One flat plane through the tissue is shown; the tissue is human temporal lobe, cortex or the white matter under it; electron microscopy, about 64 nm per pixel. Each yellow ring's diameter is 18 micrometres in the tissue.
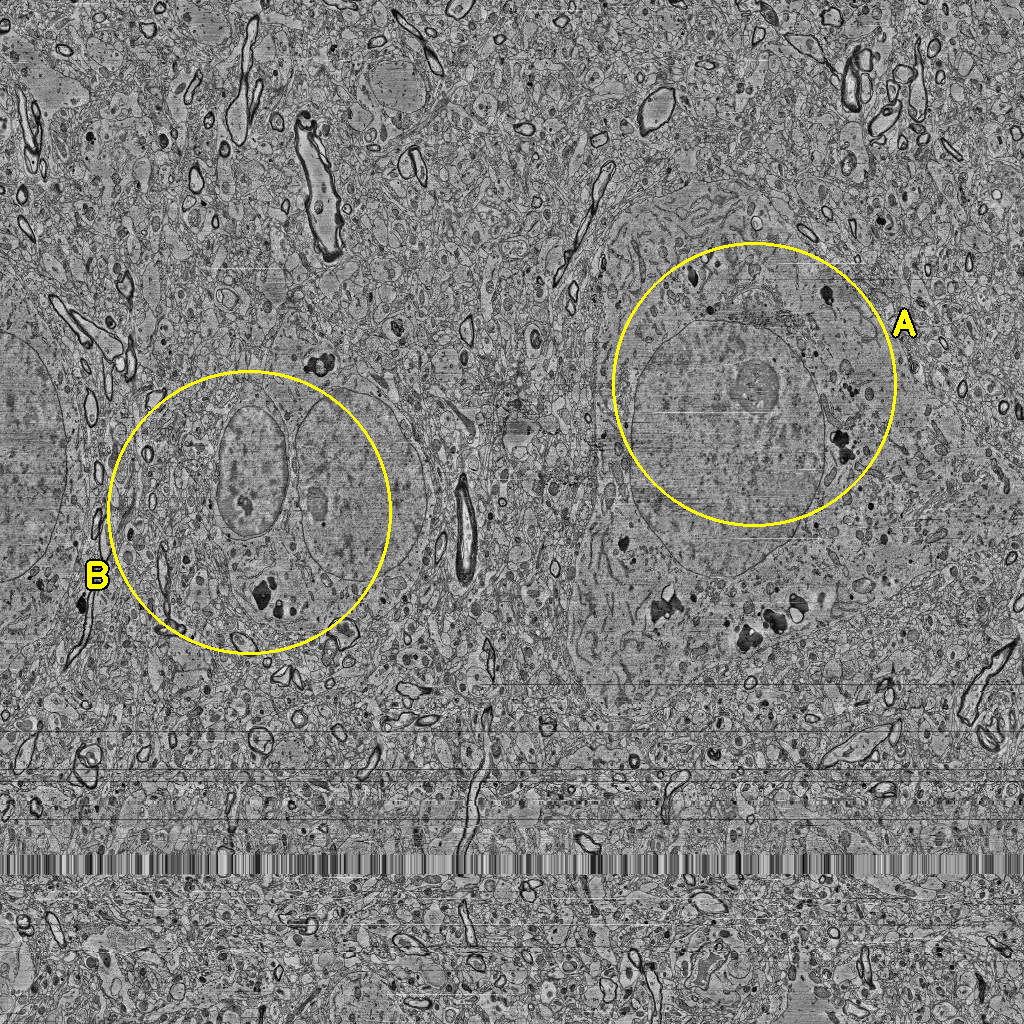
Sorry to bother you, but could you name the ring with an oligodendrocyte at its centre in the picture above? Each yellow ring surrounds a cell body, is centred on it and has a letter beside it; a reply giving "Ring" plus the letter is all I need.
Ring B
